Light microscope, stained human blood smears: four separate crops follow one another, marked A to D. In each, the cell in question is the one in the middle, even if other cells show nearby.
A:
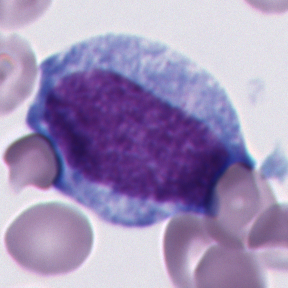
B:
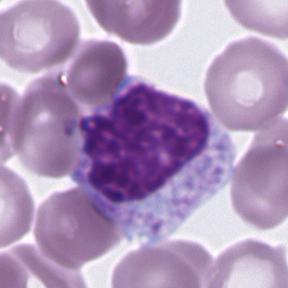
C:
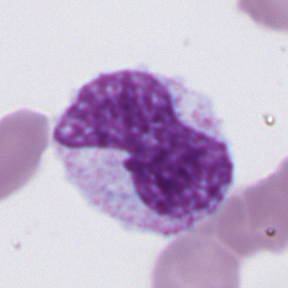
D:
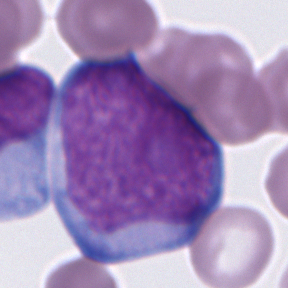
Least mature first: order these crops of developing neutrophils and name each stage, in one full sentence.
The maturity sequence, least mature to most mature, is crop D (a blast), crop A (a promyelocyte), crop B (a myelocyte) and crop C (a band neutrophil).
